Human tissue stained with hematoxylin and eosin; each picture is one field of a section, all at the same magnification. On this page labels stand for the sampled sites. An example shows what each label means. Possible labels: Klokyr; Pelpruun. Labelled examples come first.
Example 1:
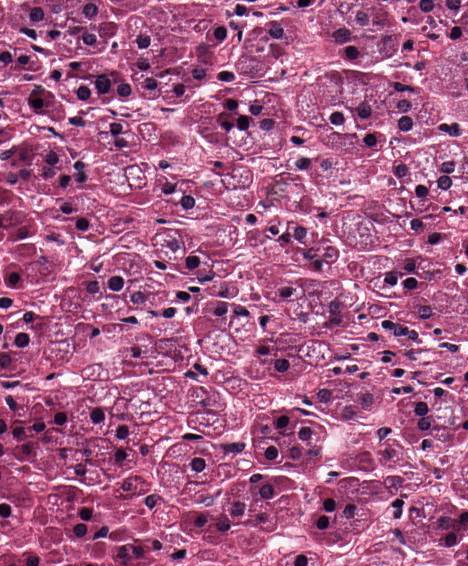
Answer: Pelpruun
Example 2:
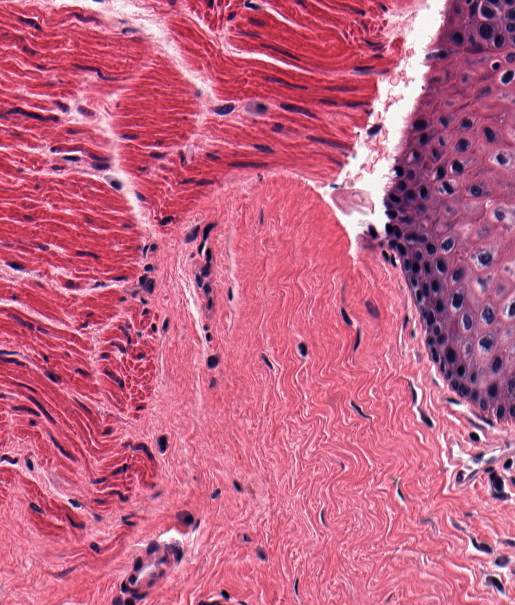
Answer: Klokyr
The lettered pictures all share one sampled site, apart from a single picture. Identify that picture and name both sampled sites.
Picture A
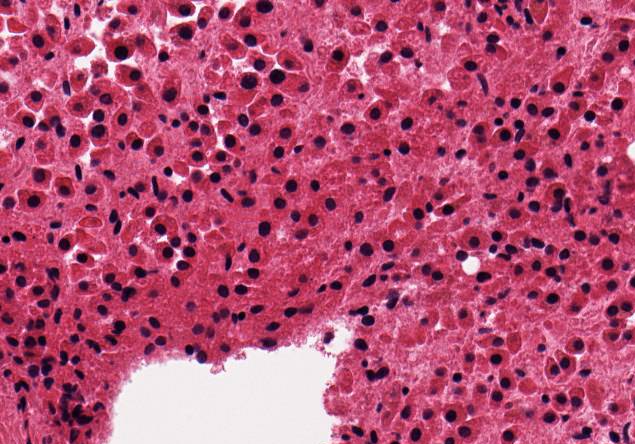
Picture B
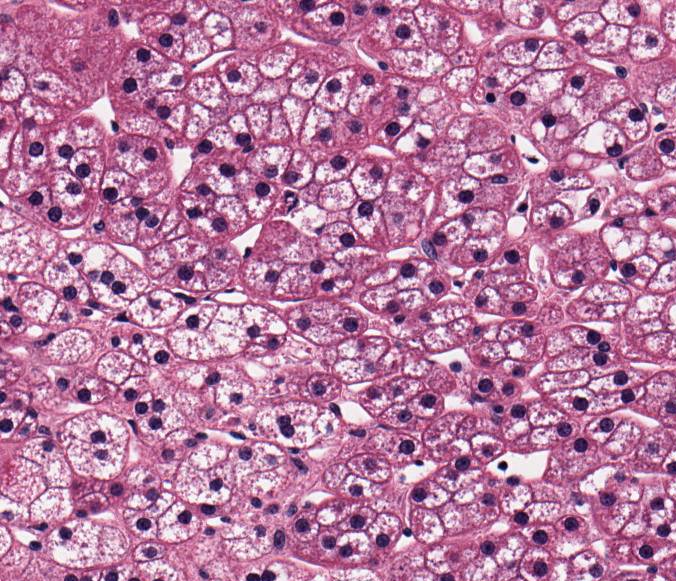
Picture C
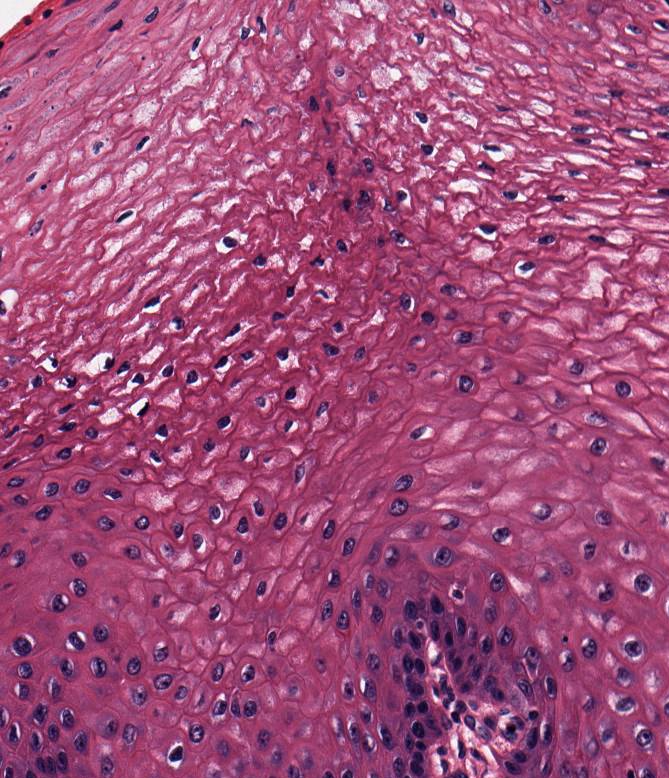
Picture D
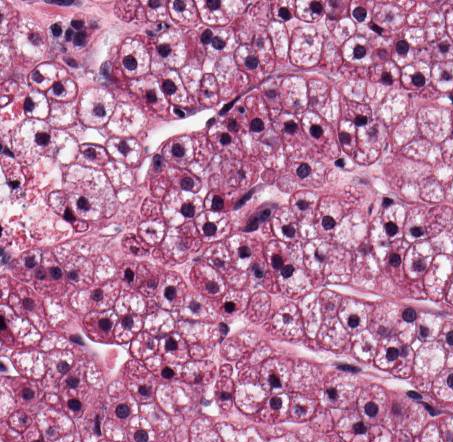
C: Klokyr; all the others: Pelpruun.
